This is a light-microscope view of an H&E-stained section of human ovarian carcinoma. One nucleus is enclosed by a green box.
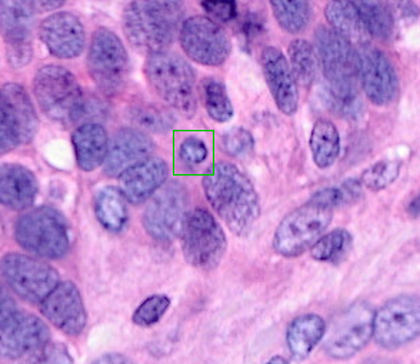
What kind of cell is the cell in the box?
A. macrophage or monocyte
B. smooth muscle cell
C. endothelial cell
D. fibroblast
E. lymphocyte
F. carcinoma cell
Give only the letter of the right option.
A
